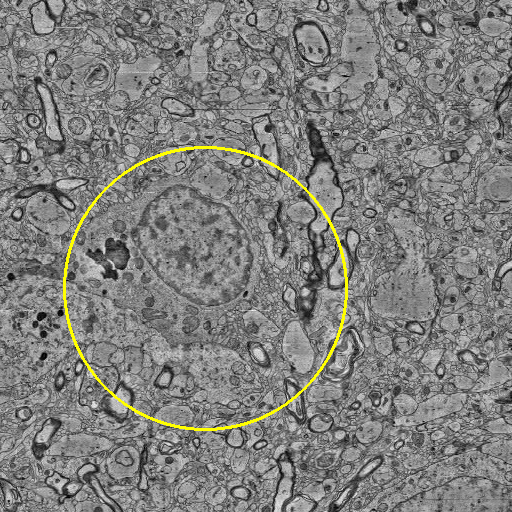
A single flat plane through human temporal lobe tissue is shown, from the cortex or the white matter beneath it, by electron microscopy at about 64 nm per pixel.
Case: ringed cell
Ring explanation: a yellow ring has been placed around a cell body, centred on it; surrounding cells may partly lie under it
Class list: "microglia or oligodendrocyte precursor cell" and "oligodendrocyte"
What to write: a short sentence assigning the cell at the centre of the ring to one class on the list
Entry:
The cell at the ring's centre is an oligodendrocyte.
